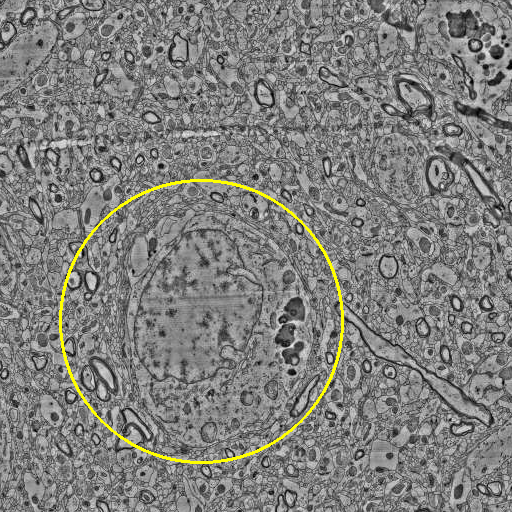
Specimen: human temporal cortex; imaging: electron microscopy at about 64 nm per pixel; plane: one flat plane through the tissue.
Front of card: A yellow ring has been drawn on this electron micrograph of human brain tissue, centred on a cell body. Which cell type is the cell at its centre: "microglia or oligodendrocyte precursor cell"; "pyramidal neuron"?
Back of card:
pyramidal neuron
